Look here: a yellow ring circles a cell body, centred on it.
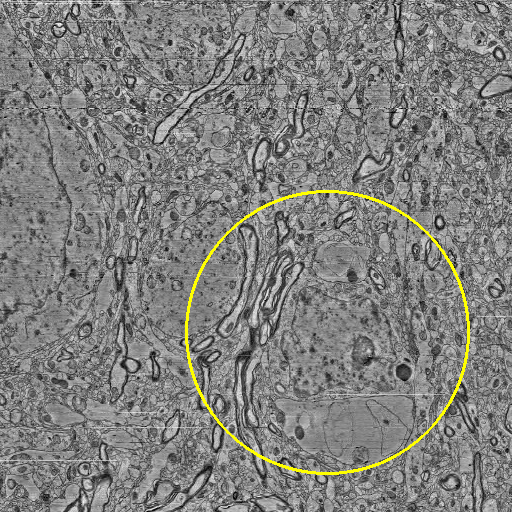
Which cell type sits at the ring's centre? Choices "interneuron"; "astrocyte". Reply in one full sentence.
The cell at the centre of the yellow ring in the picture is an interneuron.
